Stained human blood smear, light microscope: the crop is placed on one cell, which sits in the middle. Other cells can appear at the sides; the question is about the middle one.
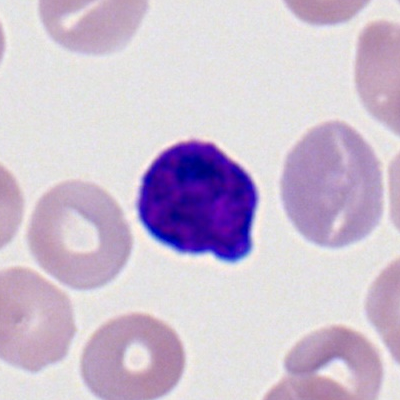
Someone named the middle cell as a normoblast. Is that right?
no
